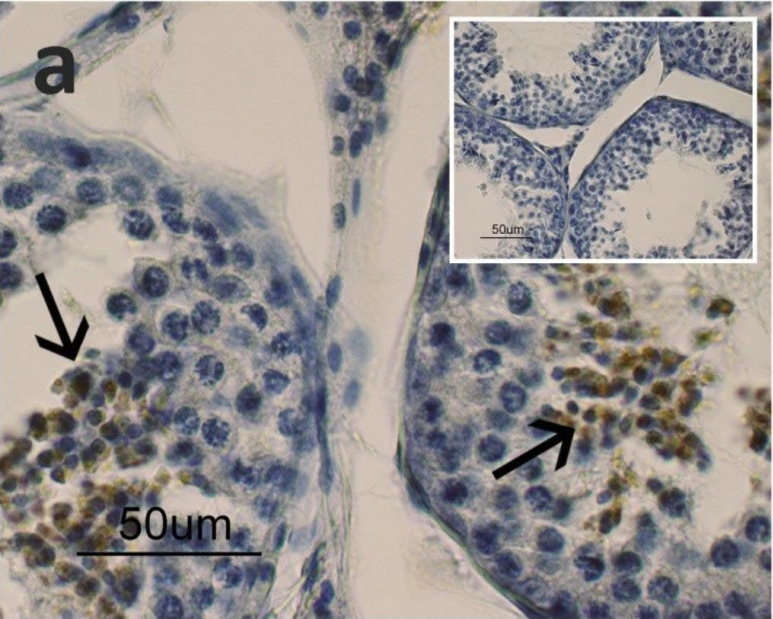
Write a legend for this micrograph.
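Two cross-sectioned seminiferous tubules of testis are seen, separated by a thin strip of interstitial tissue with flattened cells. The epithelium is filled with round blue nuclei of germ cells in several layers, lying on a thin basal wall. Toward the lumen, small, dense, dark brown granules gather in clumps among the inner cells.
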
